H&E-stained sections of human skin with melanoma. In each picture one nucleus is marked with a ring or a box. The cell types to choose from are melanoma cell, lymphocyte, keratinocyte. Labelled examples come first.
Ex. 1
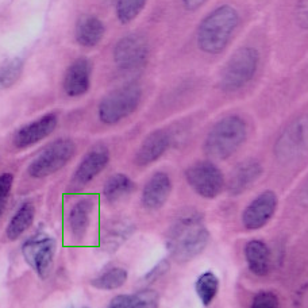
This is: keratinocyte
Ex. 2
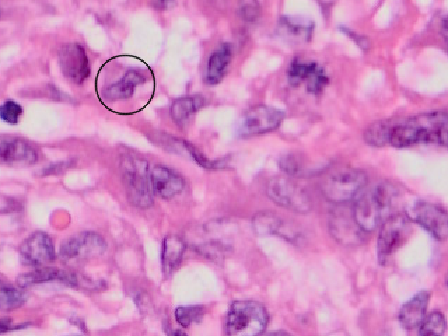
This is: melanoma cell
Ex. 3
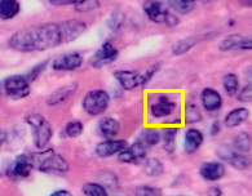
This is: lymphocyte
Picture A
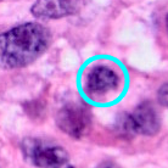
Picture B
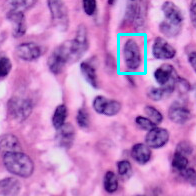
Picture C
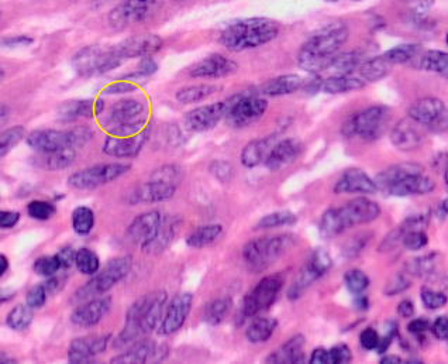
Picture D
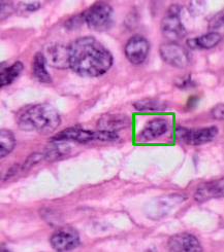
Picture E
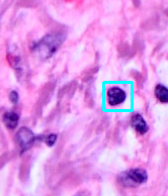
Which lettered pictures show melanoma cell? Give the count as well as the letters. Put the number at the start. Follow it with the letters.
3, namely A, C, D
